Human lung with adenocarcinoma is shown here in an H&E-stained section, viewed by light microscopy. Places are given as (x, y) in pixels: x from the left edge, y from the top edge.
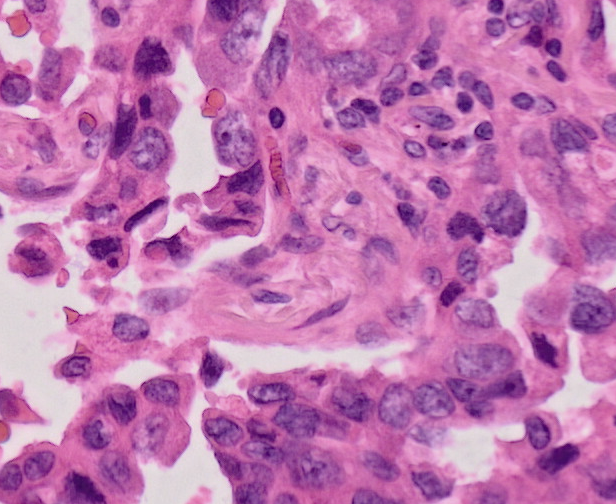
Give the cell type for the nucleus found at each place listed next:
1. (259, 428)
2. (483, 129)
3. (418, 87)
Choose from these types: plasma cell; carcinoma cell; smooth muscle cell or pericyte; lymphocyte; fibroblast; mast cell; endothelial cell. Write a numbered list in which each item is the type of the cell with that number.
1. carcinoma cell
2. lymphocyte
3. lymphocyte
